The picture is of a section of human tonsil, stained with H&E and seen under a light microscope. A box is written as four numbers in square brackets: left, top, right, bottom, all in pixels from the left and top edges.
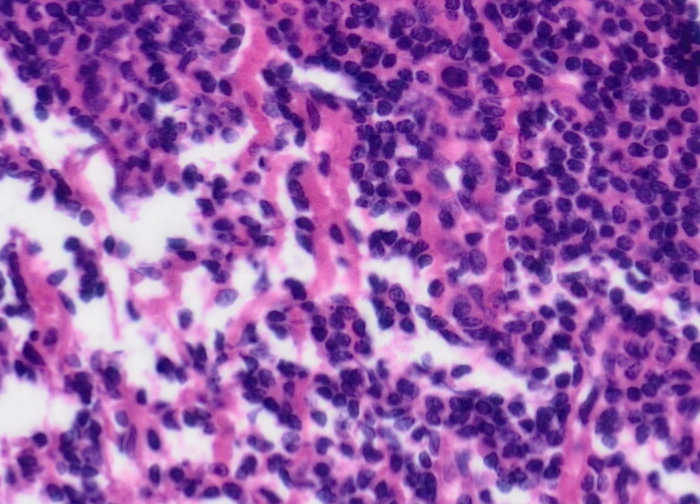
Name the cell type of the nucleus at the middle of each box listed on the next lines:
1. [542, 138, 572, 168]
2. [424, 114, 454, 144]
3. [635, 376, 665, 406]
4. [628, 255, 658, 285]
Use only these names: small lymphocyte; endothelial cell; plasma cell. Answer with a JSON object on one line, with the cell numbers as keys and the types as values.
{"1": "small lymphocyte", "2": "endothelial cell", "3": "small lymphocyte", "4": "small lymphocyte"}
